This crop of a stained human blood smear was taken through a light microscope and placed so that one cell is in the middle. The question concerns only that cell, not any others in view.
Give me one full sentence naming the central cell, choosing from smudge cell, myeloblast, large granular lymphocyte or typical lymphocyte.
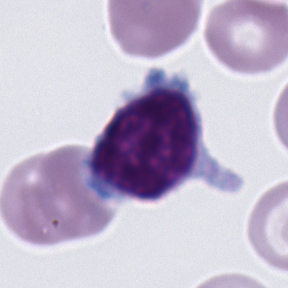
The central element of this crop is a cell, namely a typical lymphocyte.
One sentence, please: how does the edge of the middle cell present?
The boundary of the cell runs irregularly, ragged in parts or drawn into projections.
